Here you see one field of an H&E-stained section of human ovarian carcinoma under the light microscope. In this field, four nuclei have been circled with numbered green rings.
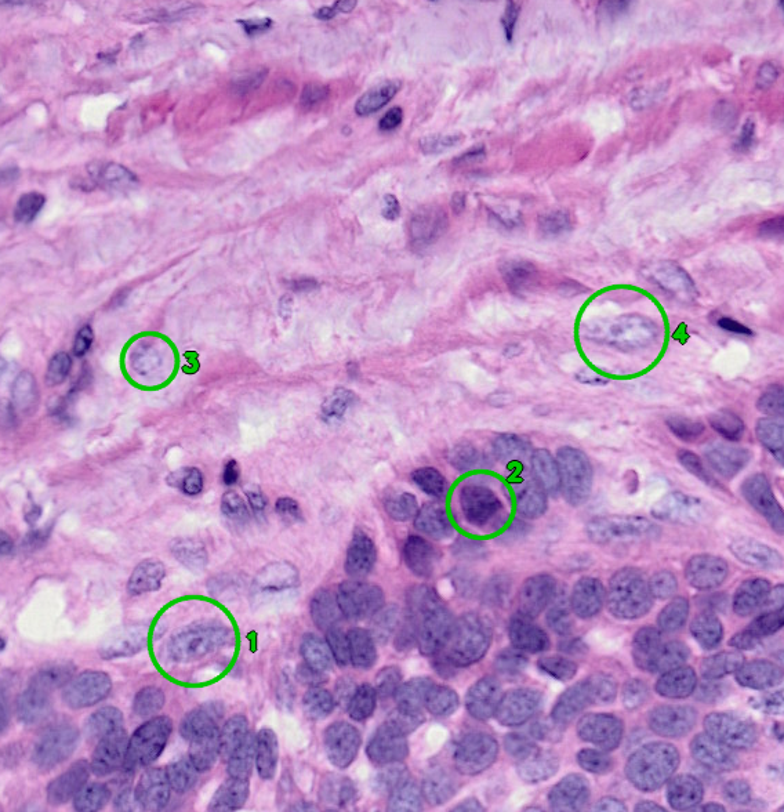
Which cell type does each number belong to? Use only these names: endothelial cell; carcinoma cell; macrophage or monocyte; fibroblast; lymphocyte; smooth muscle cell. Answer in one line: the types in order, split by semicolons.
fibroblast; carcinoma cell; fibroblast; fibroblast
